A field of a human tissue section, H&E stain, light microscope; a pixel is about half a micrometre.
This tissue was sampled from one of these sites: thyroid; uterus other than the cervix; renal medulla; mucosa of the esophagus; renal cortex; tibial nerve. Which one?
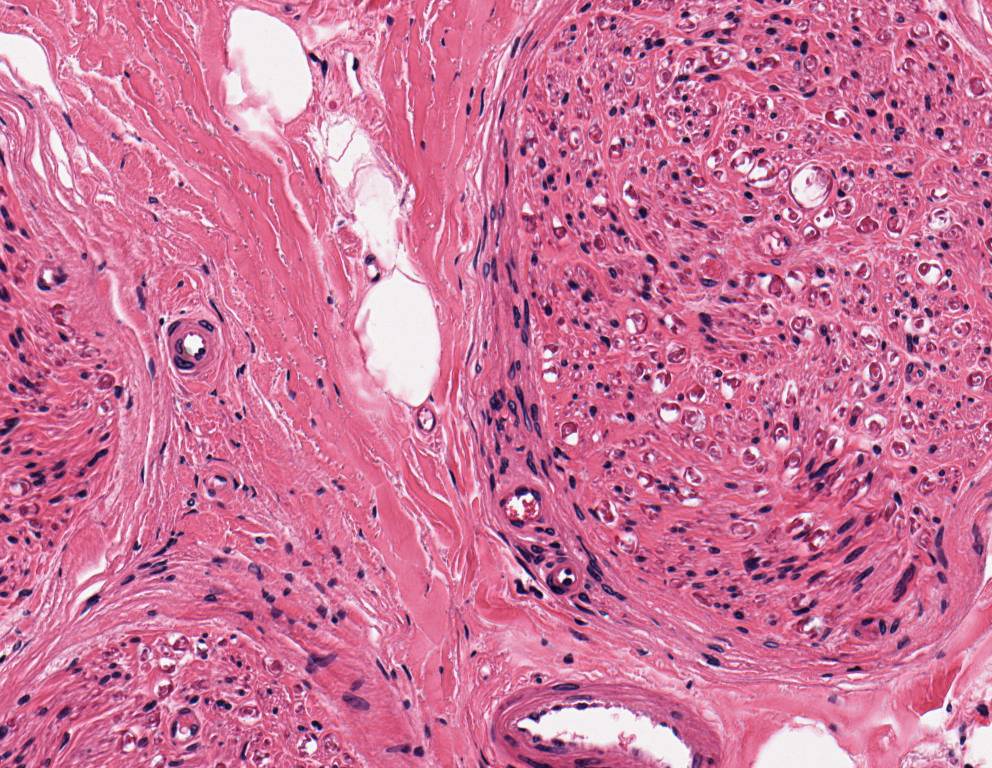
tibial nerve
